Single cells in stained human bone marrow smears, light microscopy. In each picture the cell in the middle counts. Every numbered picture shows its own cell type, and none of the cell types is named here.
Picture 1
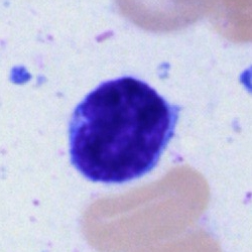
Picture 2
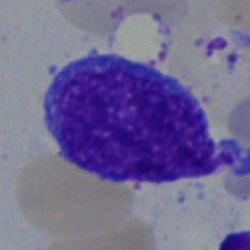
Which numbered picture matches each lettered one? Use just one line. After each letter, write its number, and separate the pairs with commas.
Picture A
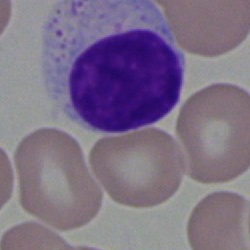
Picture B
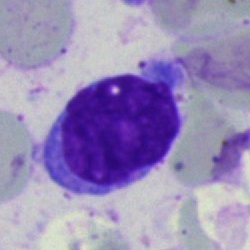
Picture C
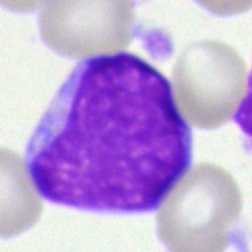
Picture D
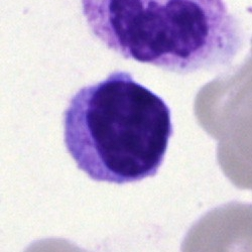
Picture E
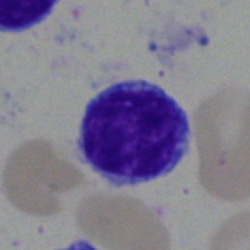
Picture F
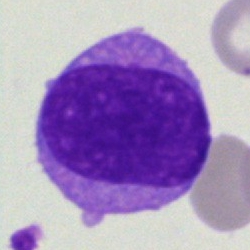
A 1, B 1, C 2, D 1, E 1, F 2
